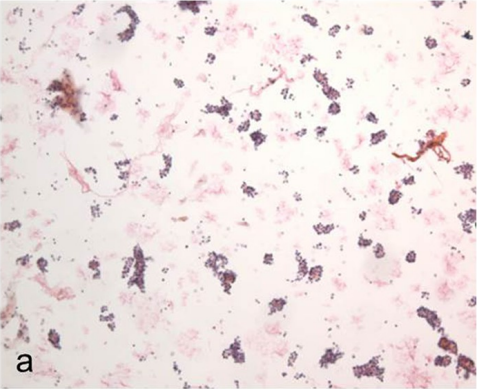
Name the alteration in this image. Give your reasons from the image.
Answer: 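Many dark purple cell clusters are scattered densely over the whole field. The clusters lie on a pale background with wispy pink material.
Answer: High cellularity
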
